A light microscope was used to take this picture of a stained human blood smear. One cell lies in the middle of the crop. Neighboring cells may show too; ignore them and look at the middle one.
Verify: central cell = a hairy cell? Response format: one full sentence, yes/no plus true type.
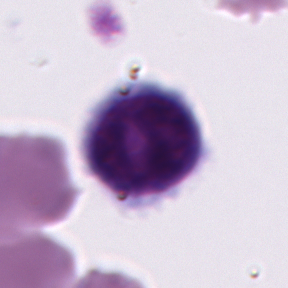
Yes, this central cell is a hairy cell.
